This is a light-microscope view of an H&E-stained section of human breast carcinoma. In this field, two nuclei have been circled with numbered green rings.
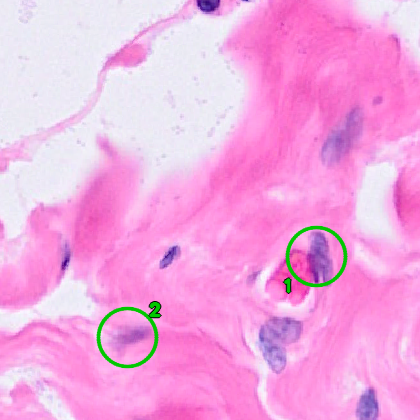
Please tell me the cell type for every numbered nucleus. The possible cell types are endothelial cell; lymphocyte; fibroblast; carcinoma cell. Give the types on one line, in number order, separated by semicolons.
endothelial cell; fibroblast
